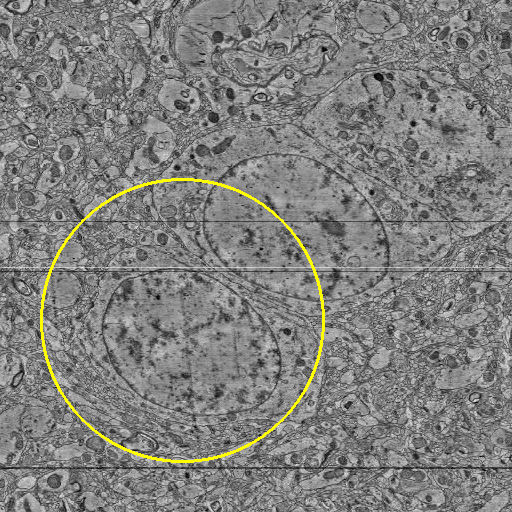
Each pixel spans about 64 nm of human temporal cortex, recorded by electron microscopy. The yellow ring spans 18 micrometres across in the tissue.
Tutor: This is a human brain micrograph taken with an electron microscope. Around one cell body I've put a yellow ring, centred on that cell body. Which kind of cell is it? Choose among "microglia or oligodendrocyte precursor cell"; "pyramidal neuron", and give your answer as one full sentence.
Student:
Going by your list, the cell centred in the yellow ring is a pyramidal neuron.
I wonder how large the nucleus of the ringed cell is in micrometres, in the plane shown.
The nucleus of the ringed cell is approximately 12 by 9 micrometres in this plane.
